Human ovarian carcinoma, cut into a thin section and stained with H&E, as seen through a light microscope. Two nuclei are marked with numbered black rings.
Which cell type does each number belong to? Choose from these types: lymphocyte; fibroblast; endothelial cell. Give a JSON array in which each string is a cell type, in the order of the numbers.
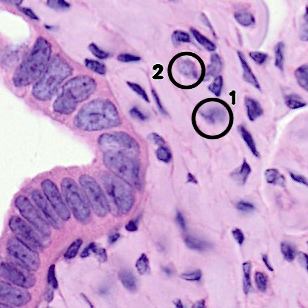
["fibroblast", "endothelial cell"]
